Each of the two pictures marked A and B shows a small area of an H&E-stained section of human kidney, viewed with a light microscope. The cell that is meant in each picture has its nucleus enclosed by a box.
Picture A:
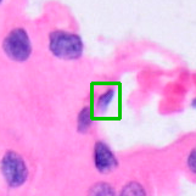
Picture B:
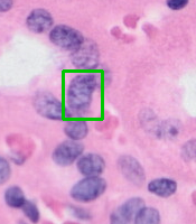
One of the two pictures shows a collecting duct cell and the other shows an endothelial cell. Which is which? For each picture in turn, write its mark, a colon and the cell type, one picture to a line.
A: endothelial cell
B: collecting duct cell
